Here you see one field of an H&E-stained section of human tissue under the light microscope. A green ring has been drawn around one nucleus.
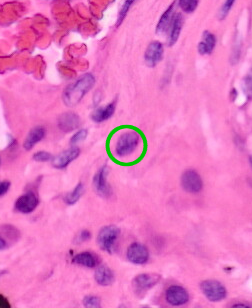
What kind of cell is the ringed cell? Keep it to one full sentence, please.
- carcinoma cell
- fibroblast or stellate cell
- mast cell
The category to which the ringed cell belongs is that of a mast cell.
